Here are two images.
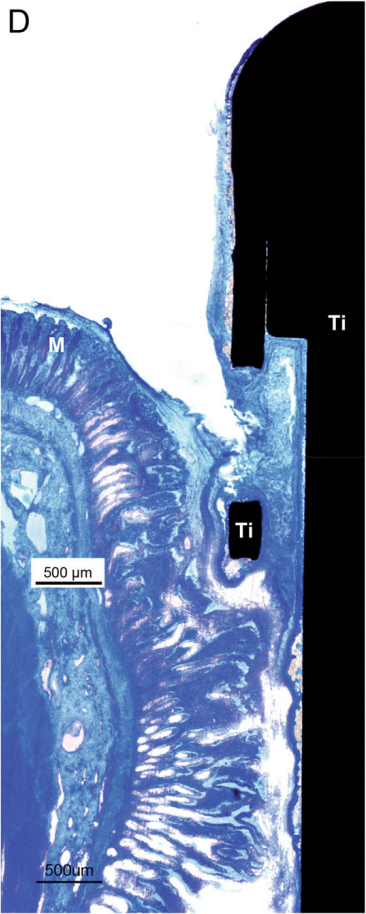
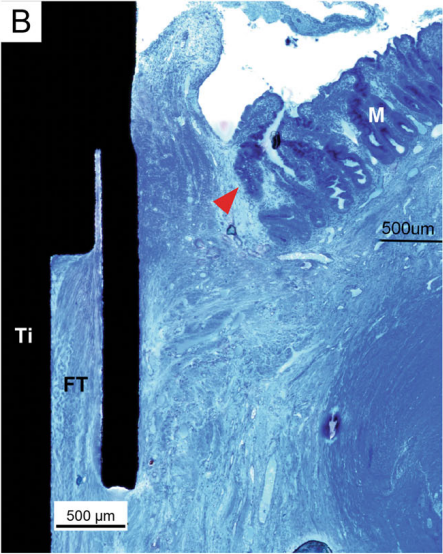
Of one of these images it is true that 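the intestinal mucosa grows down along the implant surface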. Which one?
The first image.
